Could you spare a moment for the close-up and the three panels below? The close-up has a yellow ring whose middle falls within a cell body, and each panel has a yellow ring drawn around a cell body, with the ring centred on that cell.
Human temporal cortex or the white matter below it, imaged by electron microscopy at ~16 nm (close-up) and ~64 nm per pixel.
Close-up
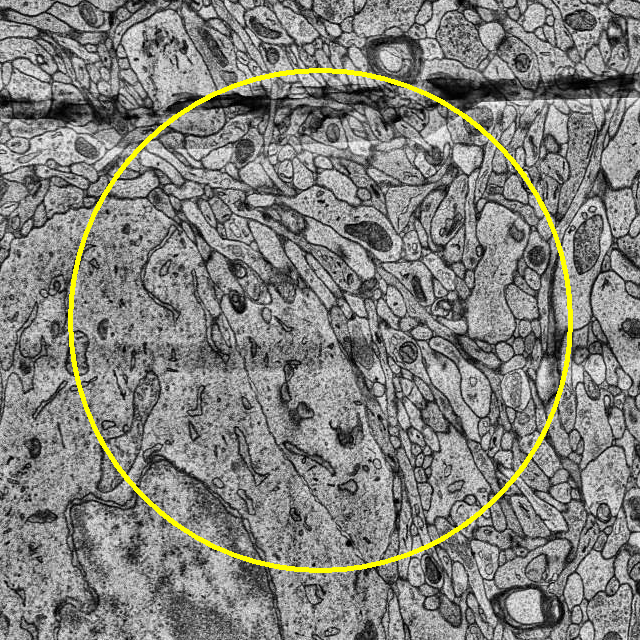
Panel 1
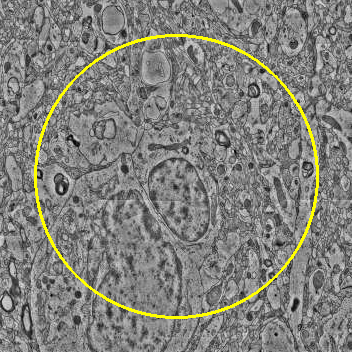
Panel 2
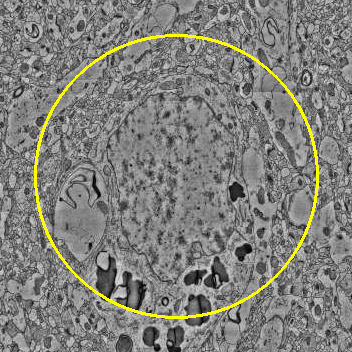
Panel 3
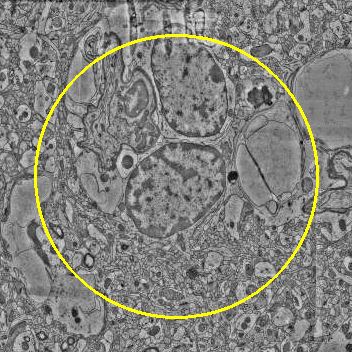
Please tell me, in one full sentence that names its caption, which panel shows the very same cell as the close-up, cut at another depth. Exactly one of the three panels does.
The ringed cell whose close-up is shown lies in Panel 1.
